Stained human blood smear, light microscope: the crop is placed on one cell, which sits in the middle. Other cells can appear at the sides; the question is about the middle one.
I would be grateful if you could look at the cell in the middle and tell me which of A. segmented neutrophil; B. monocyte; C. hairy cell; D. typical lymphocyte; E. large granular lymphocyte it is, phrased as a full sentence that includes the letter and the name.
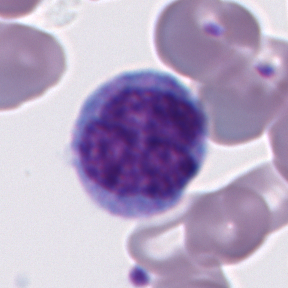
In the middle of the crop is a monocyte; option B is therefore correct.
